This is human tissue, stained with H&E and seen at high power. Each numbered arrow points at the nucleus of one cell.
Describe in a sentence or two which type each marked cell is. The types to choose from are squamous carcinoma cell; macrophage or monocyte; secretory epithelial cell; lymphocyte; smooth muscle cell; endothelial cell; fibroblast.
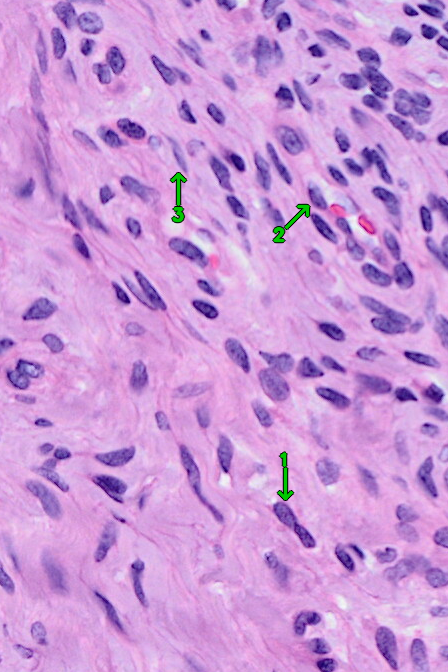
Cell 1 is a fibroblast, cell 2 is an endothelial cell and cell 3 is a fibroblast.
